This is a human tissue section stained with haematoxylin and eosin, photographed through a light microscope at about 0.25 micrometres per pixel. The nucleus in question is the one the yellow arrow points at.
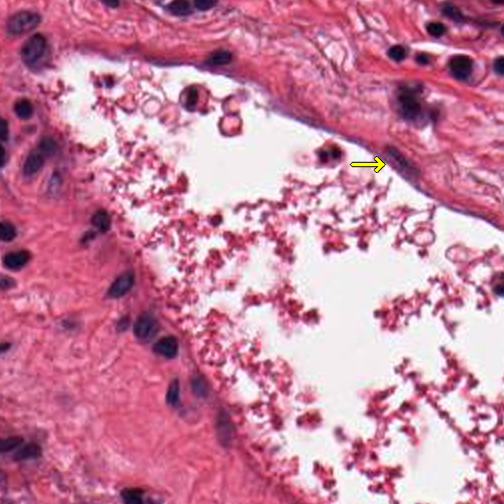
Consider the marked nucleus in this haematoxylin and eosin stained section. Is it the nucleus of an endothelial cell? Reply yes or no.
yes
